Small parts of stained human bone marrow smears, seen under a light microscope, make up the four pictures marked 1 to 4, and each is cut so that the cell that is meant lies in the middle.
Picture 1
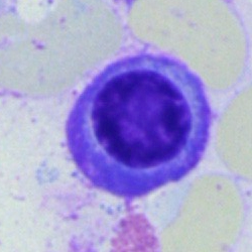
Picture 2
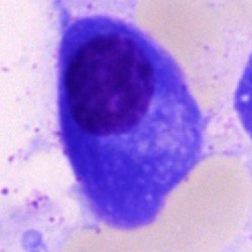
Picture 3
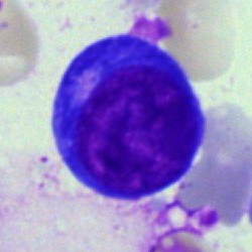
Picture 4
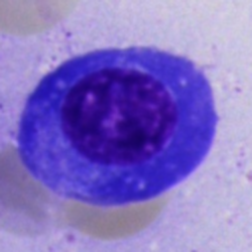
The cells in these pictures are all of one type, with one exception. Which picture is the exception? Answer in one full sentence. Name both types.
Picture 3 is the odd one out: it shows a proerythroblast, while the others show plasma cells.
